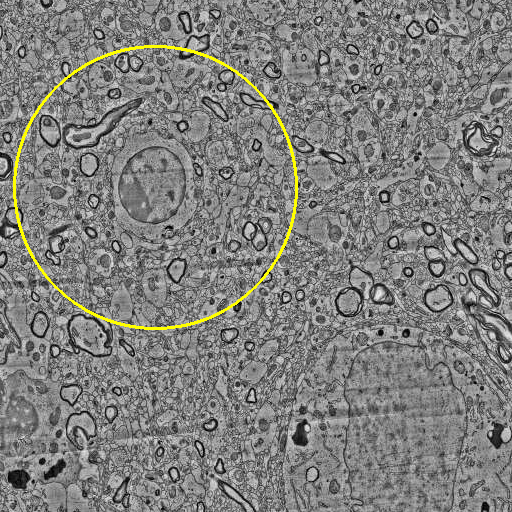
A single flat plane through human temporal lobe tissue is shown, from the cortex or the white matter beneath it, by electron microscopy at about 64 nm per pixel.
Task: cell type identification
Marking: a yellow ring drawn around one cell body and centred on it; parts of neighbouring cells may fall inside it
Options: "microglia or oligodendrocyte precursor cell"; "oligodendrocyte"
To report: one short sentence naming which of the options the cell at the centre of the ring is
The cell at the centre of the ring is a microglial cell or oligodendrocyte precursor cell.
